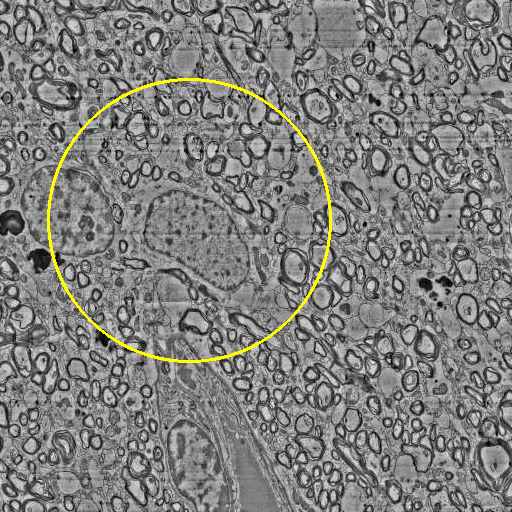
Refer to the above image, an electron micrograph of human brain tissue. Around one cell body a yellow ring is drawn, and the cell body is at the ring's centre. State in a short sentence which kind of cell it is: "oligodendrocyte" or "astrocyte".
The centre of the ring falls on an astrocyte.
